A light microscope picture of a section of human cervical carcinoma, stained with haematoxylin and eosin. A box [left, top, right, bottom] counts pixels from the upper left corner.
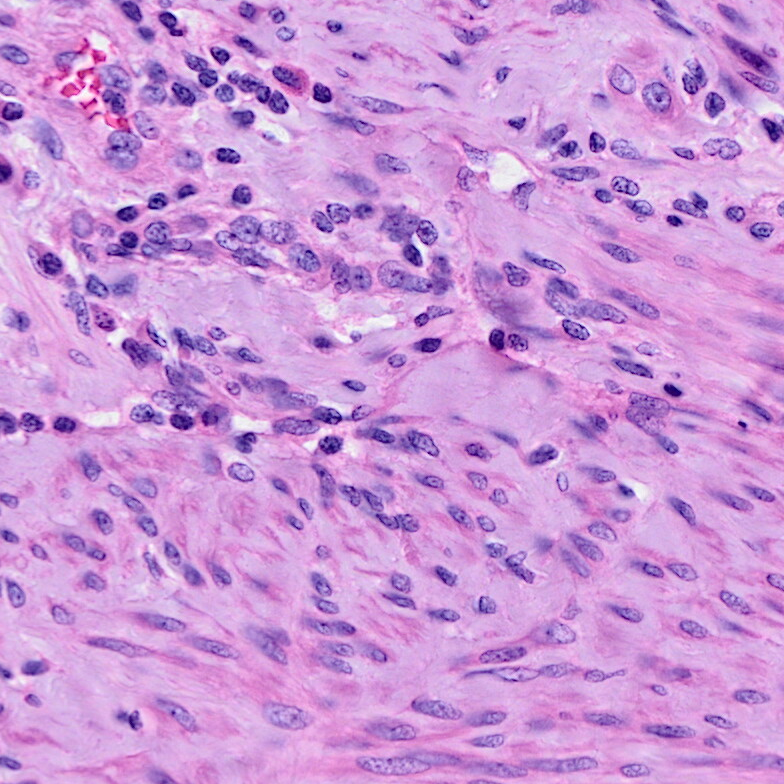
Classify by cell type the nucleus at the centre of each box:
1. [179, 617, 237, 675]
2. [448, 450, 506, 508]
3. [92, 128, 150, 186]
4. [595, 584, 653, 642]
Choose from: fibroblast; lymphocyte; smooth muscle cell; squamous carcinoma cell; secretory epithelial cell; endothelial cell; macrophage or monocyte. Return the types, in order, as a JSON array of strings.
["smooth muscle cell", "smooth muscle cell", "endothelial cell", "smooth muscle cell"]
